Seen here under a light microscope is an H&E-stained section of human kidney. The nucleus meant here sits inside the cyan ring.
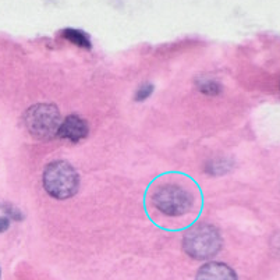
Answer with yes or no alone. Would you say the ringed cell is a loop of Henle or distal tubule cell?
no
